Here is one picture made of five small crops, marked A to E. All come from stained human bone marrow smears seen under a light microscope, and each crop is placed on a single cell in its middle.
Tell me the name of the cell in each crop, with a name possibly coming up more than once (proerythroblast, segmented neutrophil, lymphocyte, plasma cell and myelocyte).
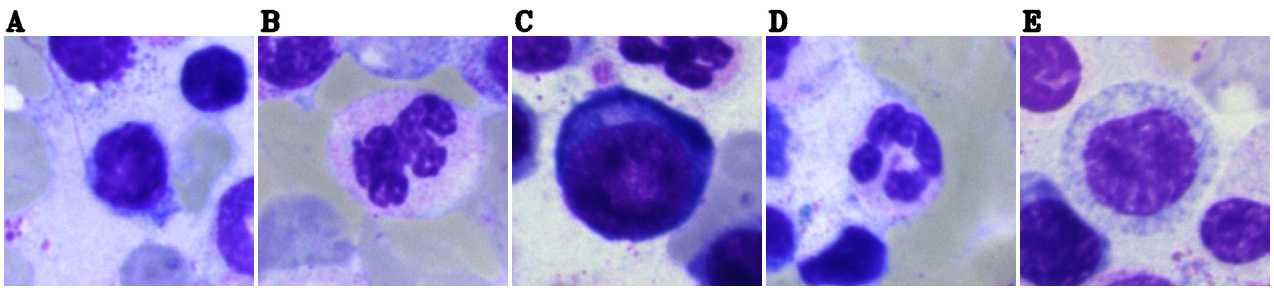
A: lymphocyte
B: segmented neutrophil
C: proerythroblast
D: segmented neutrophil
E: myelocyte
